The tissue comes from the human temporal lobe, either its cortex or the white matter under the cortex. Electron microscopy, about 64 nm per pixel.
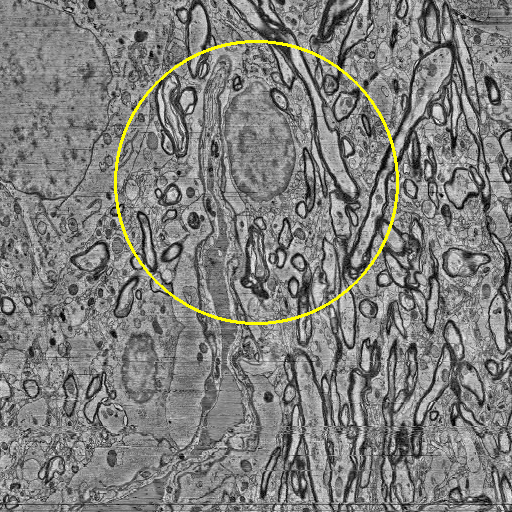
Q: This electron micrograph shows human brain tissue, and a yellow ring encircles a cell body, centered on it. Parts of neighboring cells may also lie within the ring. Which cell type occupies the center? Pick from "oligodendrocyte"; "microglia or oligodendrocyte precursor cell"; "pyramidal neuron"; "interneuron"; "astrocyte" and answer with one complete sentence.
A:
What sits at the ring's center in this micrograph is an oligodendrocyte, among those choices.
